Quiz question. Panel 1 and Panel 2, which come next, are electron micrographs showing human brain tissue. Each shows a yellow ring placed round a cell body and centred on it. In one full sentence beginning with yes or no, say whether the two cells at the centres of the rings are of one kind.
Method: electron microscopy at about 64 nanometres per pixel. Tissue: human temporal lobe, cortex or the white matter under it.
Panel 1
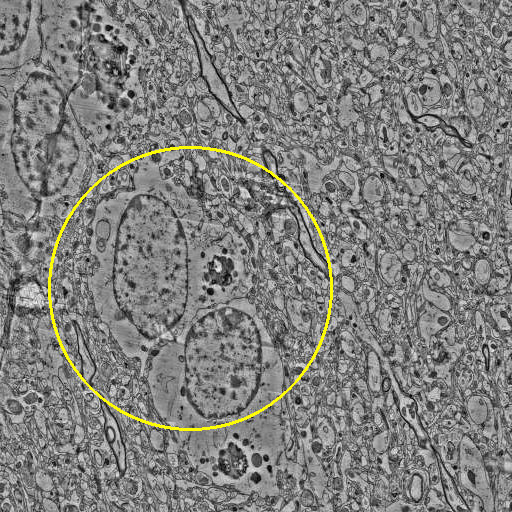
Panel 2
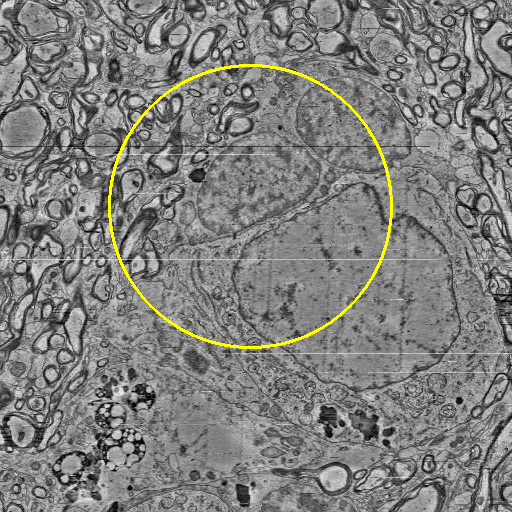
No, Panel 1 and Panel 2 show two kinds of cell at the centre of the ring.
